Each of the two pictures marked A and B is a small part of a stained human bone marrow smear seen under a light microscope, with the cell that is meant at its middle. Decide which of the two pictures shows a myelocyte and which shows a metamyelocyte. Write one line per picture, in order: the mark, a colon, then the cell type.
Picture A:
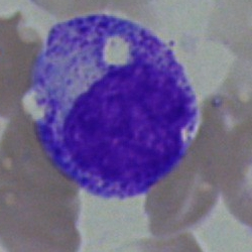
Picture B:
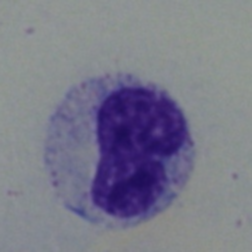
A: myelocyte
B: metamyelocyte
